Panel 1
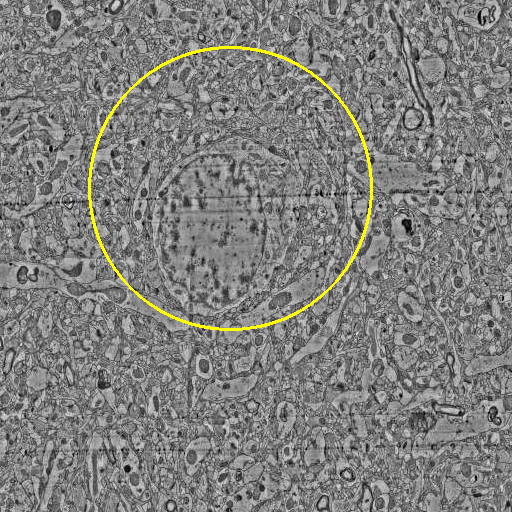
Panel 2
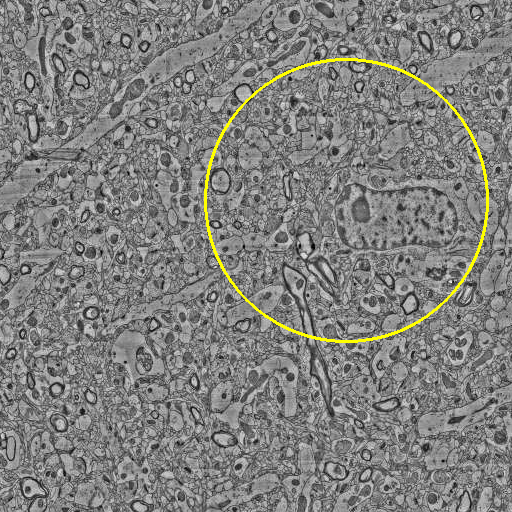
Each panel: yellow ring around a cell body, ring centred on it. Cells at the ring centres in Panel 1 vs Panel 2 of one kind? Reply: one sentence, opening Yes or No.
No, Panel 1 and Panel 2 have cells of two kinds at the ring centres.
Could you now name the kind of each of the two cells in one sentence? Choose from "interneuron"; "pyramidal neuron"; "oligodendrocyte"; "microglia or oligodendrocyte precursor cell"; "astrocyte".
The first ring encloses an interneuron; the second ring encloses a microglial cell or oligodendrocyte precursor cell.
